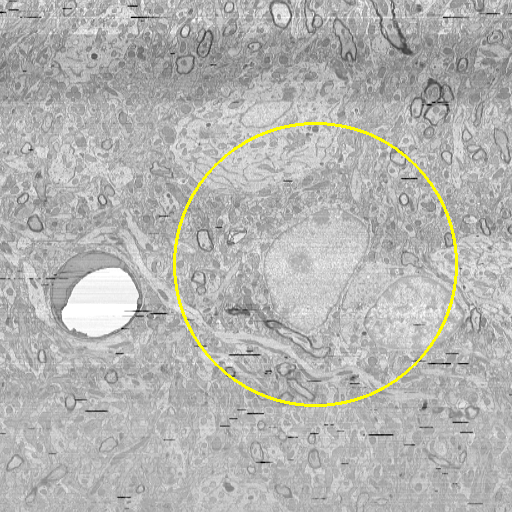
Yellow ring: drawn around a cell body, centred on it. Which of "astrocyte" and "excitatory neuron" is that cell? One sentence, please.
That cell body is from an astrocyte.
